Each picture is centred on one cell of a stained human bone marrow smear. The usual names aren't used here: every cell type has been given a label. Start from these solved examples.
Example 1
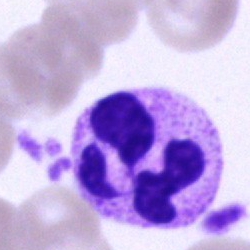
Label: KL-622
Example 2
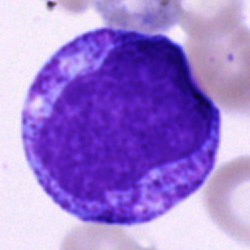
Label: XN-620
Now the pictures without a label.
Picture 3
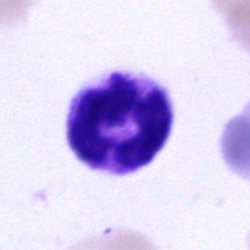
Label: KL-622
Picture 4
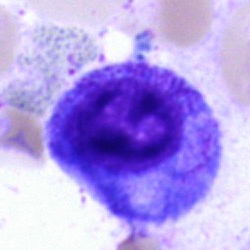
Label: XN-620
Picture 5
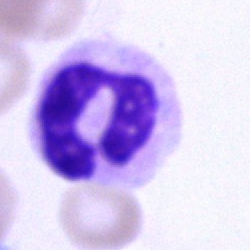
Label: KL-622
